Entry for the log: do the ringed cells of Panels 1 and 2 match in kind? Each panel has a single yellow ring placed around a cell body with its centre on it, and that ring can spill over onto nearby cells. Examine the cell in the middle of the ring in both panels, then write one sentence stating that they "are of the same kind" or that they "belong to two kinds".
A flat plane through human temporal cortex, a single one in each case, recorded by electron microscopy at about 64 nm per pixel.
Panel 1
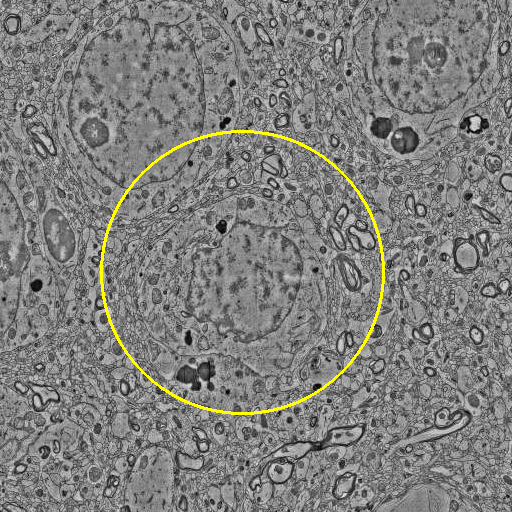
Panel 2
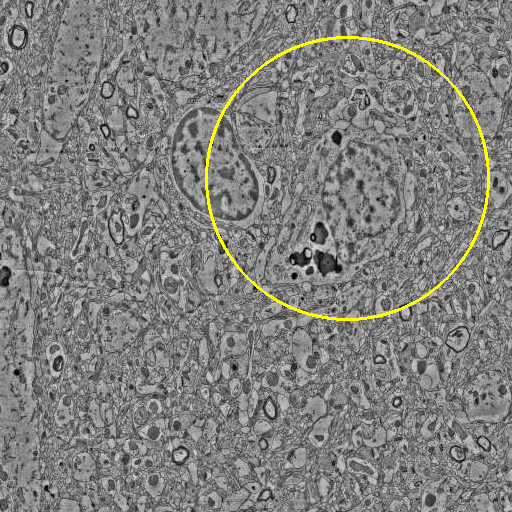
The centre cell of Panel 1's ring and that of Panel 2's ring belong to two kinds.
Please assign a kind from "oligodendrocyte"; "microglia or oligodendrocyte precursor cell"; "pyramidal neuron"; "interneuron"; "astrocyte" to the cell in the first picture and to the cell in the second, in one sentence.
In the first picture we have a pyramidal neuron, and in the second, an interneuron.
